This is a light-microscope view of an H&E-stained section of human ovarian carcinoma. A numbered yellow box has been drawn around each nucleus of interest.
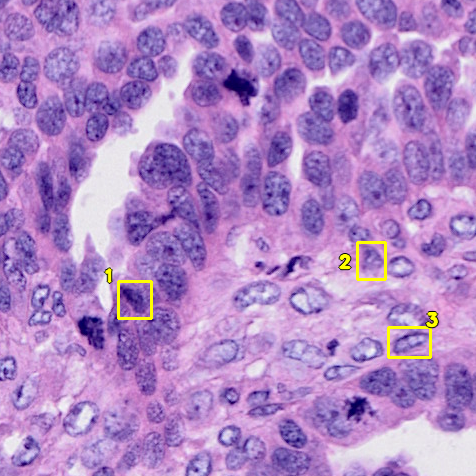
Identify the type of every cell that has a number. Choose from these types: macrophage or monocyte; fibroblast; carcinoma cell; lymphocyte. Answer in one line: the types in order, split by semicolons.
carcinoma cell; fibroblast; fibroblast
